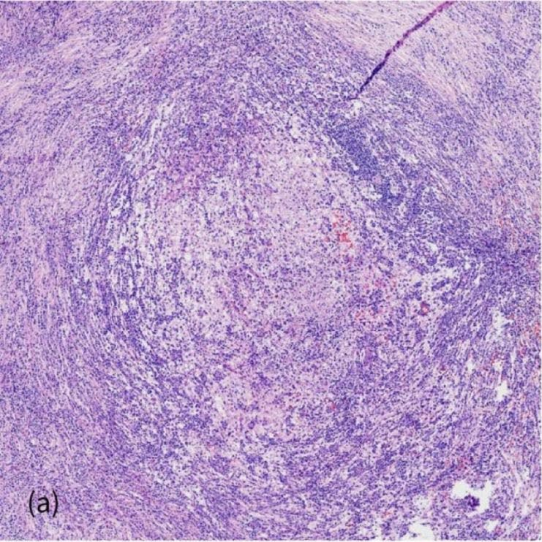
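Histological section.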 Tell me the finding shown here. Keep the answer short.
Fibrosis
